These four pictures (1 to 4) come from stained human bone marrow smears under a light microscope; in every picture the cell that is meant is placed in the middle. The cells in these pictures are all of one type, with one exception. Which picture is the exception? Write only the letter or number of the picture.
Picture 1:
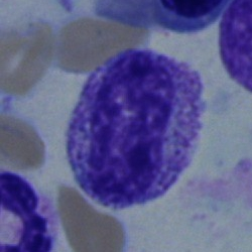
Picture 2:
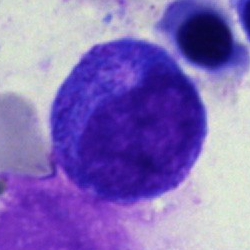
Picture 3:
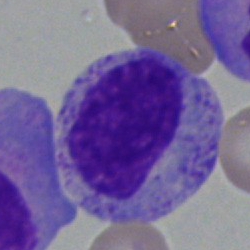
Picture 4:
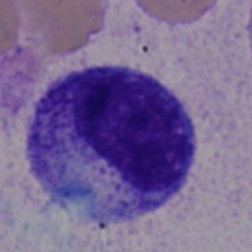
2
